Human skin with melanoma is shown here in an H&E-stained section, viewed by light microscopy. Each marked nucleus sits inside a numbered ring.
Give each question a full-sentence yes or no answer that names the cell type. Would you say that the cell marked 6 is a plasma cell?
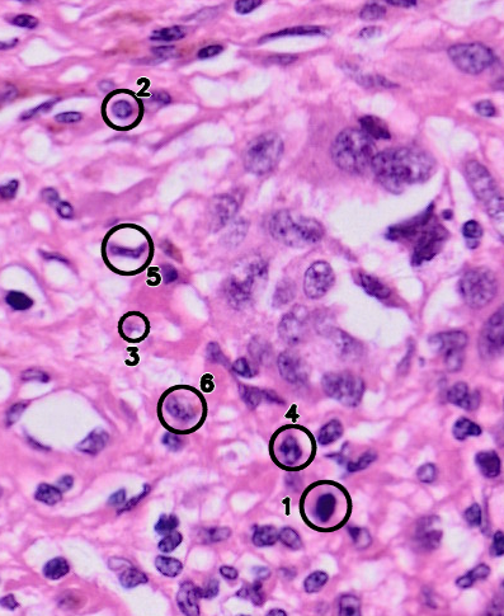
No, it's not a plasma cell at number 6; that cell is a macrophage or monocyte.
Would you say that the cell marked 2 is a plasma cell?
No, cell 2 is not a plasma cell at all but a lymphocyte.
